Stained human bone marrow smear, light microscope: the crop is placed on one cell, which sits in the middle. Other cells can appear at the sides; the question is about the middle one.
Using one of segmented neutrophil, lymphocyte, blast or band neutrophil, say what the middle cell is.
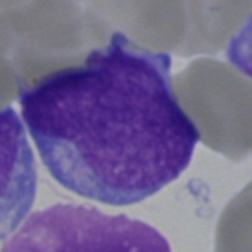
blast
